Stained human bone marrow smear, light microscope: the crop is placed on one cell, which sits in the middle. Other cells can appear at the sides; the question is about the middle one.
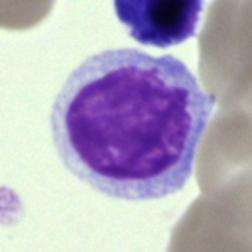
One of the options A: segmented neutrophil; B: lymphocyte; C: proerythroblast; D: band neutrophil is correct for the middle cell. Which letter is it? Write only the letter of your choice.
B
